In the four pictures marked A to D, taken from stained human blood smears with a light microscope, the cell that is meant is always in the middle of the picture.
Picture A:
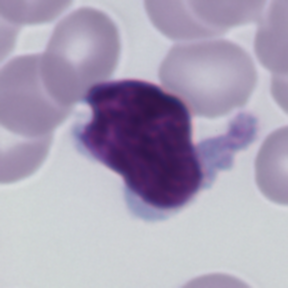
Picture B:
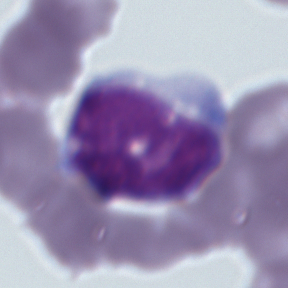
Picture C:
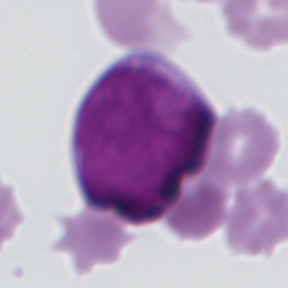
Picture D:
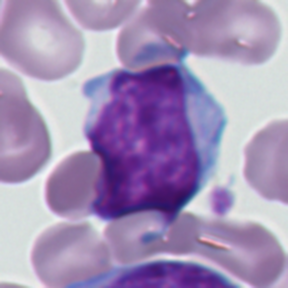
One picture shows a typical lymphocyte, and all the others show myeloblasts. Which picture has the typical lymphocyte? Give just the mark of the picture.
A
